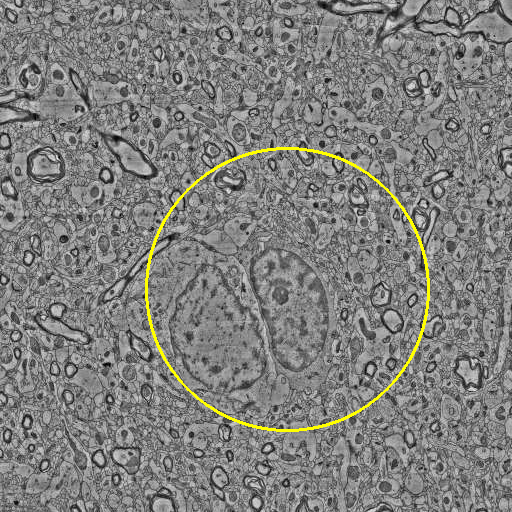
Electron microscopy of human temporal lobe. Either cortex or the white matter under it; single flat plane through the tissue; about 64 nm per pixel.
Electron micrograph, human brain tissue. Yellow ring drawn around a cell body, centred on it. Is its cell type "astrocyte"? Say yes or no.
no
